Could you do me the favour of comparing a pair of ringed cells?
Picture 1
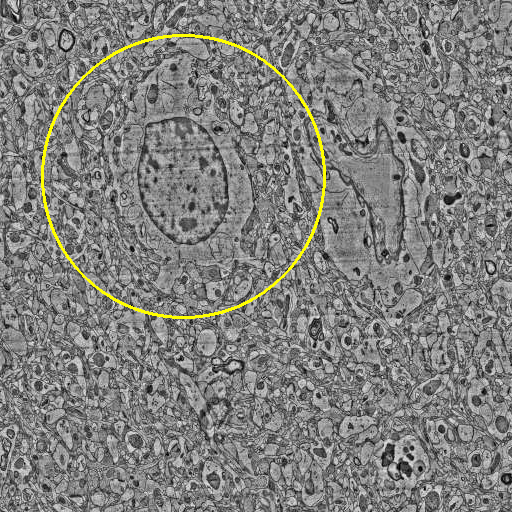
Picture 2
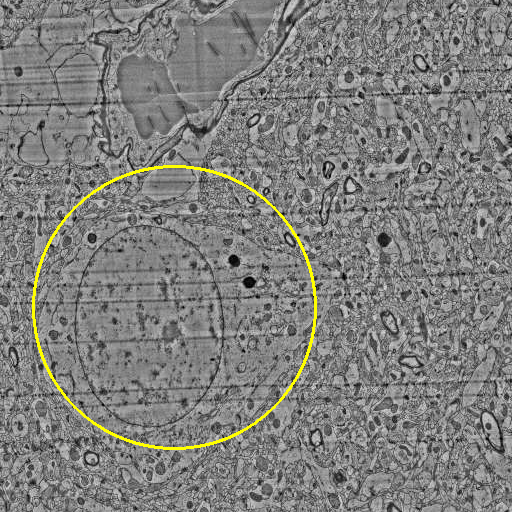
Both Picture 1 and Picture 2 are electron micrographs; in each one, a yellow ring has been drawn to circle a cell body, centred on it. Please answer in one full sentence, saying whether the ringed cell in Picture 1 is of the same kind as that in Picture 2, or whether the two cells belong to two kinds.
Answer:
The ringed cells in Picture 1 and Picture 2 belong to two kinds.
